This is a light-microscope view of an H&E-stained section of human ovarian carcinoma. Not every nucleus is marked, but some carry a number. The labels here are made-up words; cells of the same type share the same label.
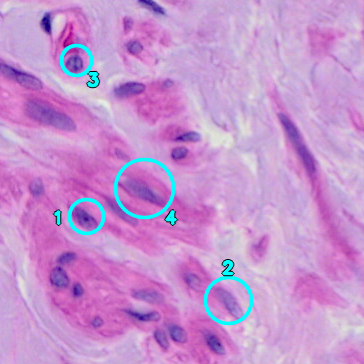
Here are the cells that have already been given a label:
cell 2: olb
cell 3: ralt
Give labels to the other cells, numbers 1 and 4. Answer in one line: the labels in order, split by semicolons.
olb; olb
